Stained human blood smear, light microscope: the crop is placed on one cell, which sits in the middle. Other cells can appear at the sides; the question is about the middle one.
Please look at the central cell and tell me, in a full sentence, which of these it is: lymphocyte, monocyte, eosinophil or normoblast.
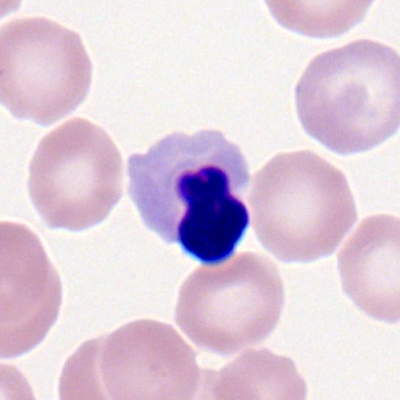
This crop is built around a normoblast at its centre.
